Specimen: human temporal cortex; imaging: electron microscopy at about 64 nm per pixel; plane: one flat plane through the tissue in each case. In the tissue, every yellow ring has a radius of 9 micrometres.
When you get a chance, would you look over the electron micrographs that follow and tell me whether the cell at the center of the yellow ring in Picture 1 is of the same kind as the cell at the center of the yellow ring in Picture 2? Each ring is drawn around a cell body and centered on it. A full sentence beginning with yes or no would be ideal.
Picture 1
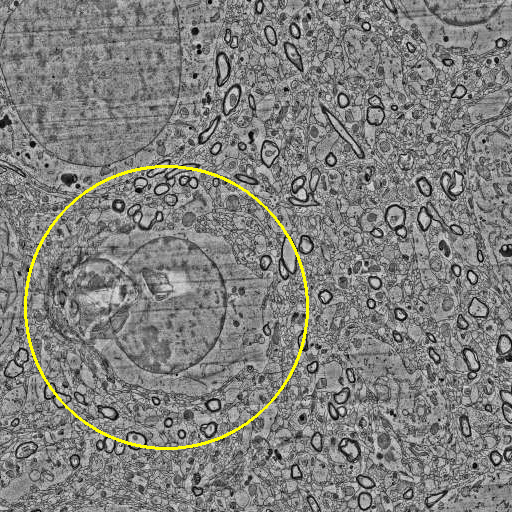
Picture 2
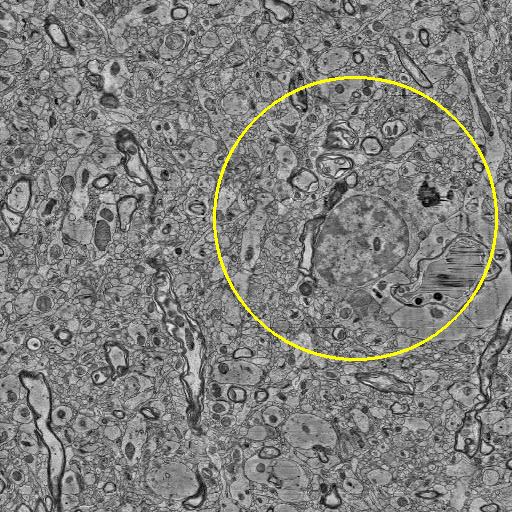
No, they are two kinds of cell.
